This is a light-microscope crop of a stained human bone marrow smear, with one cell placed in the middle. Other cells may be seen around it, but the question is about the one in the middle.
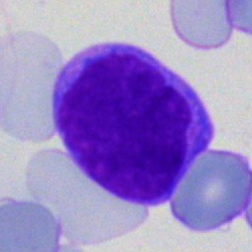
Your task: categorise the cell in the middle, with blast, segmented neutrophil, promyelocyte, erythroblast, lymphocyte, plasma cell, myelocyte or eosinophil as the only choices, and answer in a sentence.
In this smear crop, the middle cell is a blast.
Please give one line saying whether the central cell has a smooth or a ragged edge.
Thanks for asking; the cell edge is smooth and has no projections.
